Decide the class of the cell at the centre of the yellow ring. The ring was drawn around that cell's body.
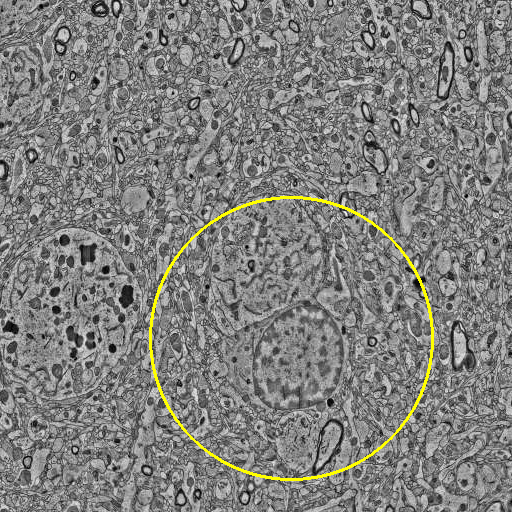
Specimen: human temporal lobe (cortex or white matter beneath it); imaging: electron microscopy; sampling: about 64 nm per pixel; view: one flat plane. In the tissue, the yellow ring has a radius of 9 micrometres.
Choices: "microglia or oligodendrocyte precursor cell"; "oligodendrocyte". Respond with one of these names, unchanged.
oligodendrocyte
